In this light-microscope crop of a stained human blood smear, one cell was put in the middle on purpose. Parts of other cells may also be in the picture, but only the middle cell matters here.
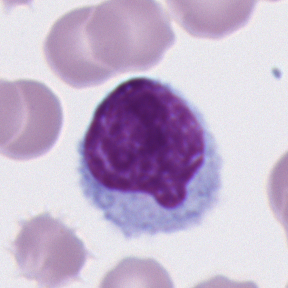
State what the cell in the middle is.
typical lymphocyte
